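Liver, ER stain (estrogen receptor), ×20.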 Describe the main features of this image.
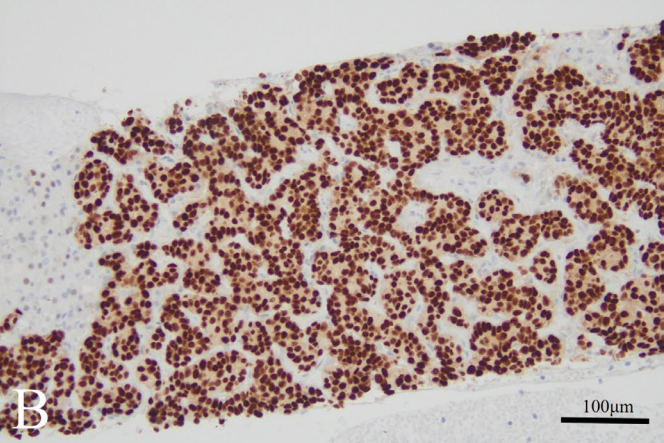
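This core shows tumor cells in nests and anastomosing cords, nearly all with strong brown staining of their nuclei. The staining is confined to the nuclei, with the cytoplasm only faintly tinged. Between the nests runs pale, unstained stroma.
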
